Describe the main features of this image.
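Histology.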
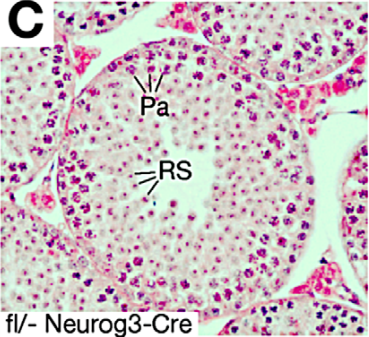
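Large cells with coarse, dark purple nuclei lie in the outer part of the layer, and many smaller round cells with pale round nuclei fill the inner rows. No elongated, dark, condensed heads and no tail material are seen near the lumen. Neighbouring tubules and thin interstitial tissue surround it.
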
